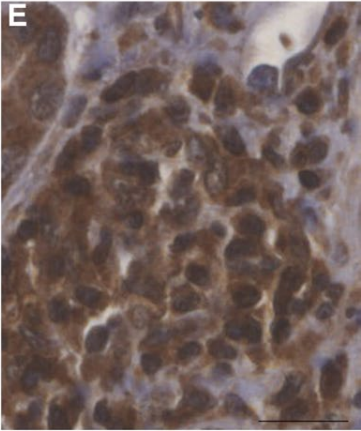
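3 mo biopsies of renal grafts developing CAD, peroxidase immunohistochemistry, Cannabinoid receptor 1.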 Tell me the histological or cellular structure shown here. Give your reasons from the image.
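A dense crowd of small round cells with round nuclei. Cells are packed closely without forming tubules. Their cytoplasm is stained brown.
Answer: interstitial inflammatory infiltrate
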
